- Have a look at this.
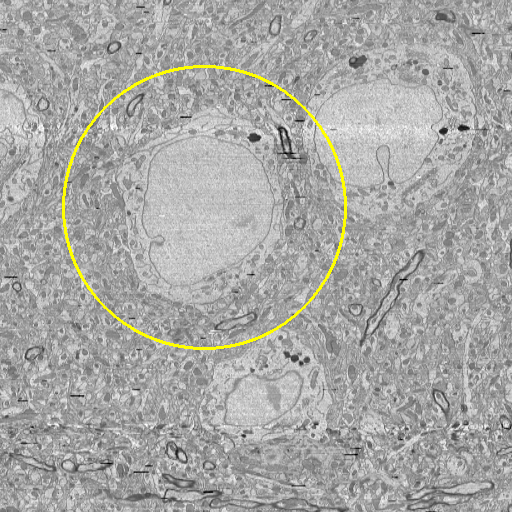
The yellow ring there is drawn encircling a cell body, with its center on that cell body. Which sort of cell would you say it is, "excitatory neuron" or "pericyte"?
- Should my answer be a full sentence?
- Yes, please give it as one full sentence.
For this picture, an excitatory neuron is the cell where the yellow ring has its center.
